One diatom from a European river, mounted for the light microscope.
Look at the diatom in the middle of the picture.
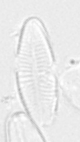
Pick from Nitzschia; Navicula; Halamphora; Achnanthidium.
Achnanthidium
